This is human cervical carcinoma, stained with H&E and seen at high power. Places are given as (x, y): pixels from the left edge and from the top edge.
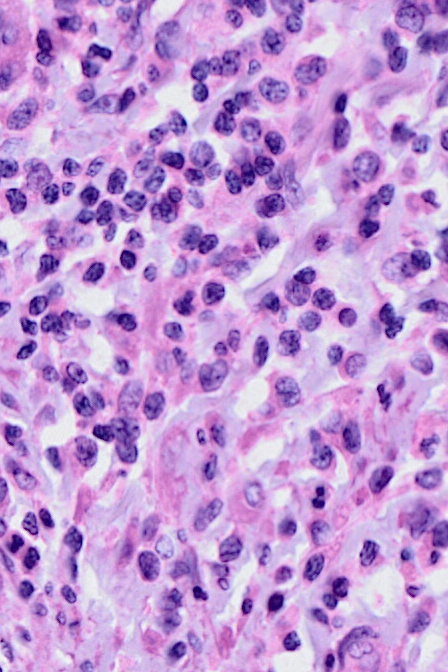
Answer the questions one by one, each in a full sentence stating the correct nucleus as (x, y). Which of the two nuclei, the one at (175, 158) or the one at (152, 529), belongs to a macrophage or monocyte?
The nucleus at (152, 529) is assigned to a macrophage or monocyte.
